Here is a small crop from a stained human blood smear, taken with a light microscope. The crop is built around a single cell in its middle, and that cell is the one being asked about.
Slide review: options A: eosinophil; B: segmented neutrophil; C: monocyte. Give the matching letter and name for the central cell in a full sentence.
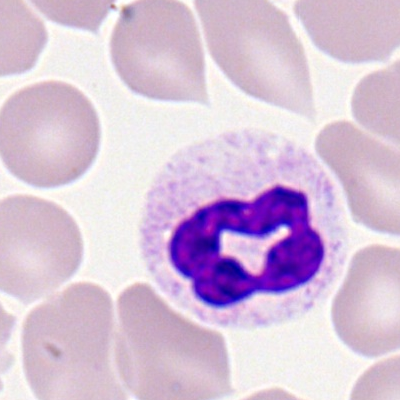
Option B gets it right: the cell in the middle is a segmented neutrophil.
